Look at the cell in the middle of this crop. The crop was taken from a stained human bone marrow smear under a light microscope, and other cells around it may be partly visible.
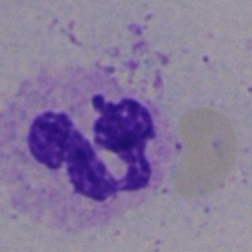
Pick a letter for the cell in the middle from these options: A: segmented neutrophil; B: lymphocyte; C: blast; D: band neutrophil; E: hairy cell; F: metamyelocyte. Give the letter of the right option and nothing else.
A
